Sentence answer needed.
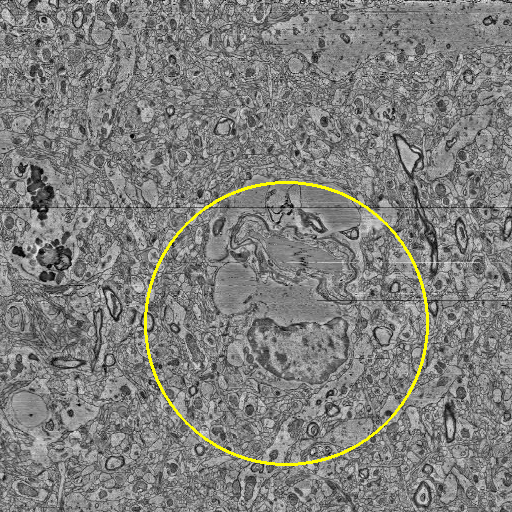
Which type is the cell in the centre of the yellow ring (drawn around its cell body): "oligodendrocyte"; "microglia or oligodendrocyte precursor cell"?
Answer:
In the centre of the yellow ring is a microglial cell or oligodendrocyte precursor cell.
